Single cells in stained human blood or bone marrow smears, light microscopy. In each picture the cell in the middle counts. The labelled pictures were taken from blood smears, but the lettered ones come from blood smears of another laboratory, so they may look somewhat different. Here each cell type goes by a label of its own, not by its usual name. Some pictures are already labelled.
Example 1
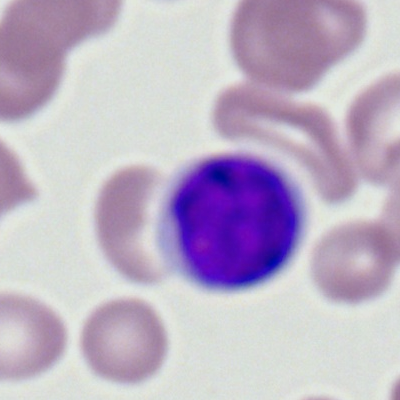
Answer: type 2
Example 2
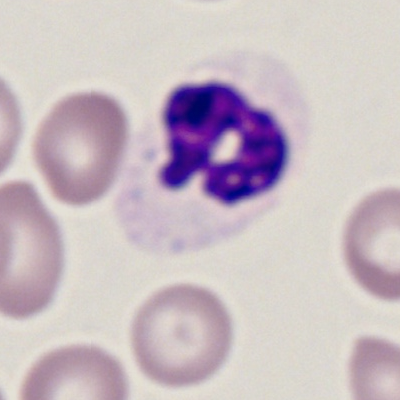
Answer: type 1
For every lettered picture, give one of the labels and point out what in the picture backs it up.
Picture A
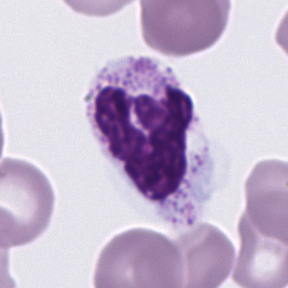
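Label: type 1. The cytoplasm is very pale, almost colourless.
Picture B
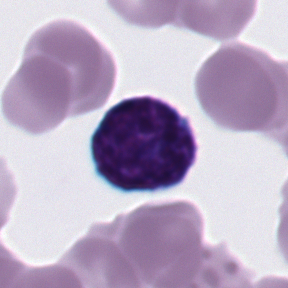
Label: type 2. Only a very narrow rim of pale blue cytoplasm shows at parts of the edge.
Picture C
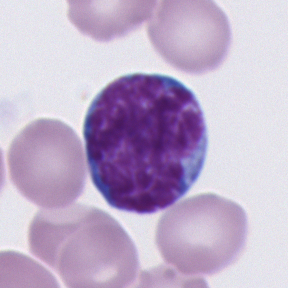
Label: type 2. The cytoplasm forms a thin blue rim around the nucleus.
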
